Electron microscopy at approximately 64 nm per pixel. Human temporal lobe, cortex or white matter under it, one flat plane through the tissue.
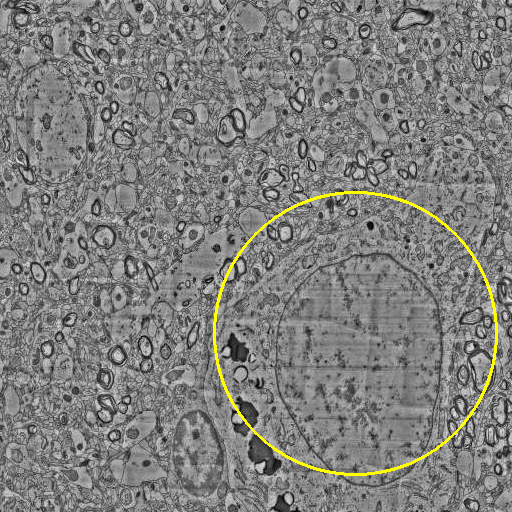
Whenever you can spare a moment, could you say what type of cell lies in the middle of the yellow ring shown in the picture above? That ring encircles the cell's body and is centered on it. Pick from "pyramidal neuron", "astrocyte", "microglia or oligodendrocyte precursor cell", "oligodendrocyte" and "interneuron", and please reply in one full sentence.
The cell whose body sits at the middle of the yellow ring is a pyramidal neuron.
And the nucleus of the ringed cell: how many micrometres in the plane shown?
Approximately 15 x 11 micrometres in this plane.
